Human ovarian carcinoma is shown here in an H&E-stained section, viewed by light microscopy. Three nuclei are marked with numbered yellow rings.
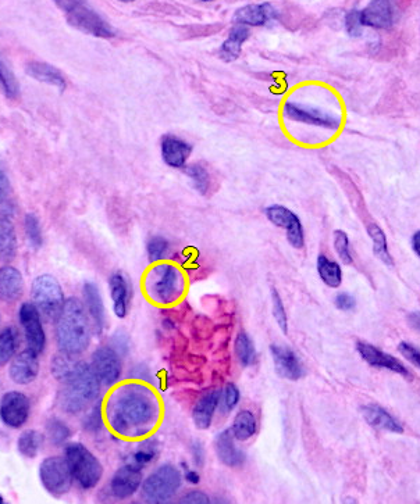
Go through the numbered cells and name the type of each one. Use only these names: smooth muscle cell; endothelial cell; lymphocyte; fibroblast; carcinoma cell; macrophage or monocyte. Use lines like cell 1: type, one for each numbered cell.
cell 1: carcinoma cell
cell 2: endothelial cell
cell 3: fibroblast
